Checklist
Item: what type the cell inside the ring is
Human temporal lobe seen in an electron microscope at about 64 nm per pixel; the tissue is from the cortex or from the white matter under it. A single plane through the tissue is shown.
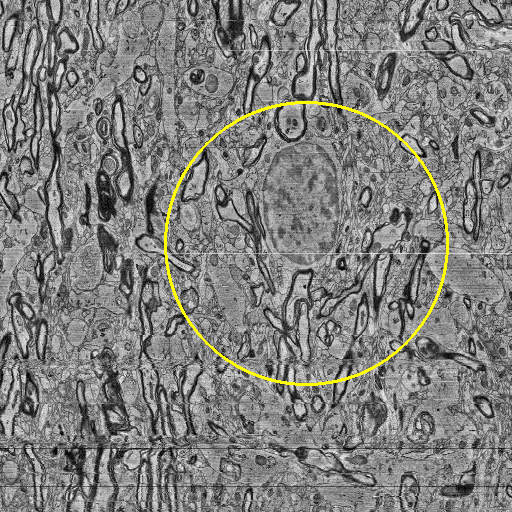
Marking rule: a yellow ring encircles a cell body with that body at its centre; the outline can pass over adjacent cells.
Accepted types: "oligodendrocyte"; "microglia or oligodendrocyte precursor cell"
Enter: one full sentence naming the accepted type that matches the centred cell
The entry is that an oligodendrocyte lies at the centre of the yellow ring.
